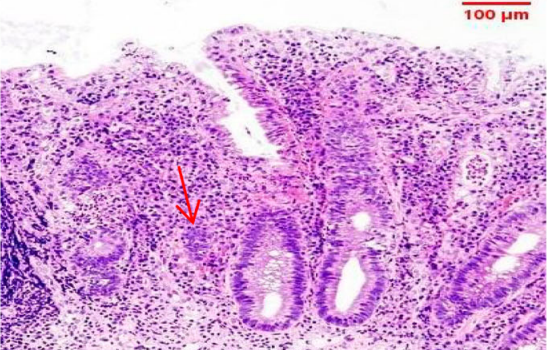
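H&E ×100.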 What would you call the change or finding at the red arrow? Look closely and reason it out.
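Cryptitis. The arrow points at a crypt whose outline is crowded by small dark inflammatory nuclei. The lamina propria around the crypts is densely packed with inflammatory cells.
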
